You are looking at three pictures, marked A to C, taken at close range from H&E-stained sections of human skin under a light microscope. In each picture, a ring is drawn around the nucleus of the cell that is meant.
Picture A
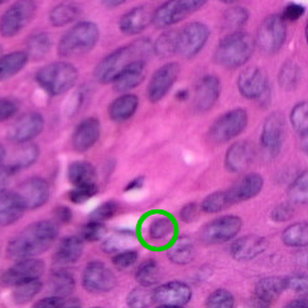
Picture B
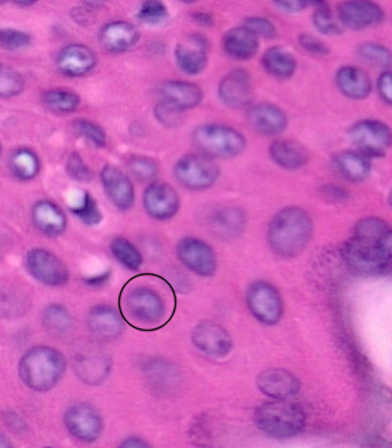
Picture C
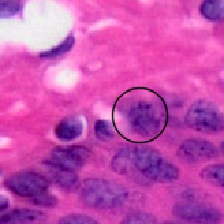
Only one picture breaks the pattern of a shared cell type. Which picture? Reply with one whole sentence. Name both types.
All pictures except B show basal keratinocytes; picture B shows a suprabasal keratinocyte.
